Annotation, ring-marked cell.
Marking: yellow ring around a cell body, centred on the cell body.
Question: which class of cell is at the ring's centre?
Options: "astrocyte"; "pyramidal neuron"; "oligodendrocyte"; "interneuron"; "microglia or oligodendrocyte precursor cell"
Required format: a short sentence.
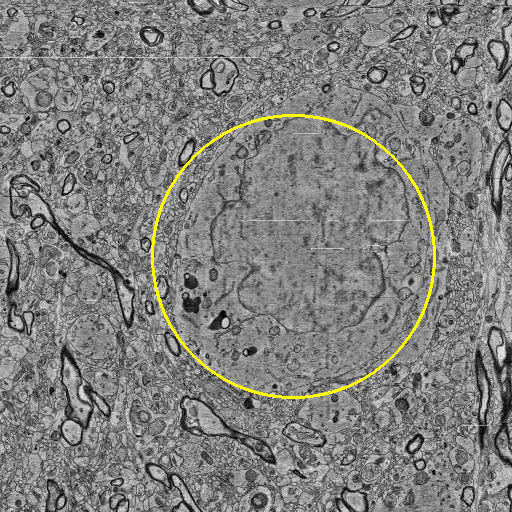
At the ring's centre is an interneuron.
